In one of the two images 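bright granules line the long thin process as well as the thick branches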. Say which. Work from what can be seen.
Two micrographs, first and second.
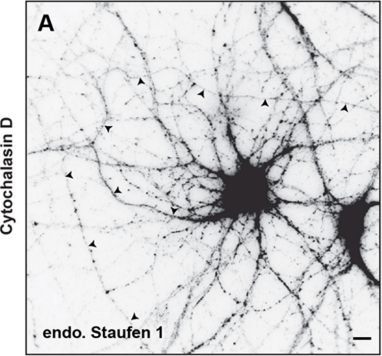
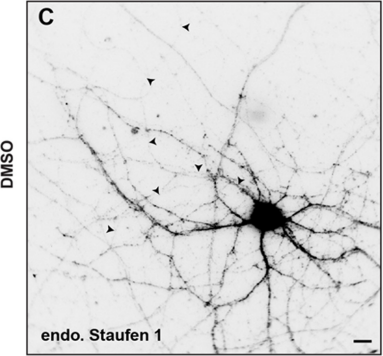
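The first image. Second image: the long thin process marked by arrowheads is faint with few granules. First image: the long thin process marked by arrowheads carries many dark dots along its length.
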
